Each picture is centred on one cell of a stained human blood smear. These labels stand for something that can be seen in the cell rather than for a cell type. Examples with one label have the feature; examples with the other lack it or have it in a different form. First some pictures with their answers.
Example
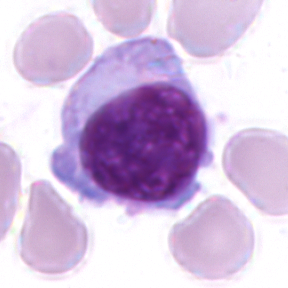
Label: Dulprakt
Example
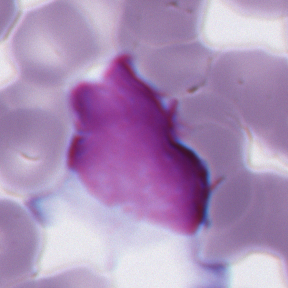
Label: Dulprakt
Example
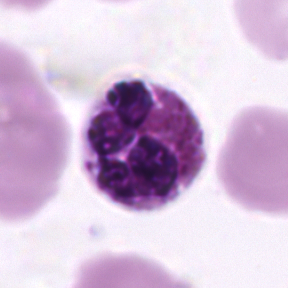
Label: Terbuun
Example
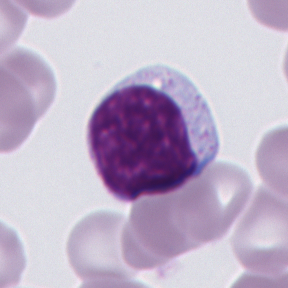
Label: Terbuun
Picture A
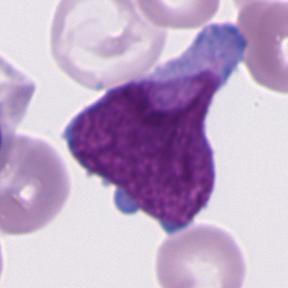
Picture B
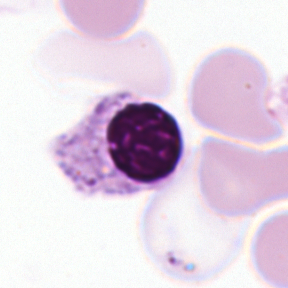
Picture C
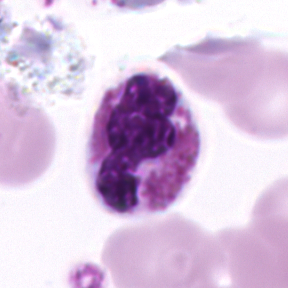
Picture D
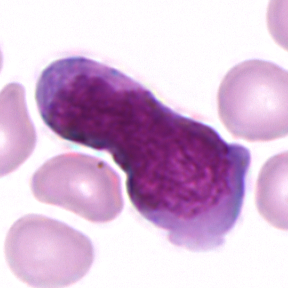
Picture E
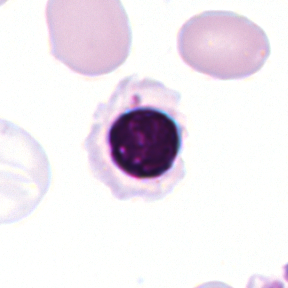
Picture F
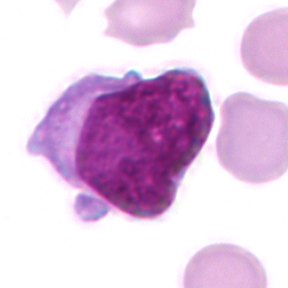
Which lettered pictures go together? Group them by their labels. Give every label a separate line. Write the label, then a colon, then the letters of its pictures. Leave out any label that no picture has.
Dulprakt: A, B, D, E, F
Terbuun: C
